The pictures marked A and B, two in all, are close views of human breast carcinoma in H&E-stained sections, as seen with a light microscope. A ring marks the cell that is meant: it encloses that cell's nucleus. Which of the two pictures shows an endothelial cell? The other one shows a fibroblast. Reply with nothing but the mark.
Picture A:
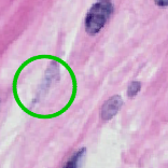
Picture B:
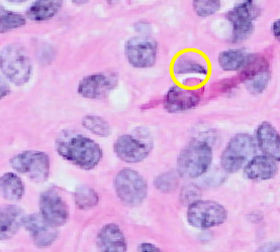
B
